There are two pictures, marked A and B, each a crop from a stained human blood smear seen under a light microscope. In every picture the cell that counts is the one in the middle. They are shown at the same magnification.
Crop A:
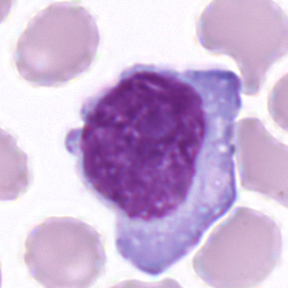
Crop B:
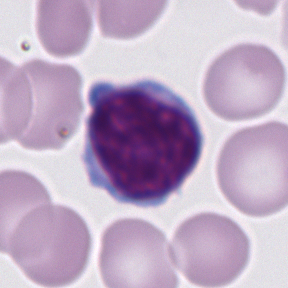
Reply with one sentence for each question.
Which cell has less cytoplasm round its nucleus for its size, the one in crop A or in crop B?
The nucleus fills more of the cell in crop B than in crop A.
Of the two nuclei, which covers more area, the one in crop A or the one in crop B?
Crop A shows the larger nucleus; it covers about 1.5 times the area of the nucleus in crop B.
